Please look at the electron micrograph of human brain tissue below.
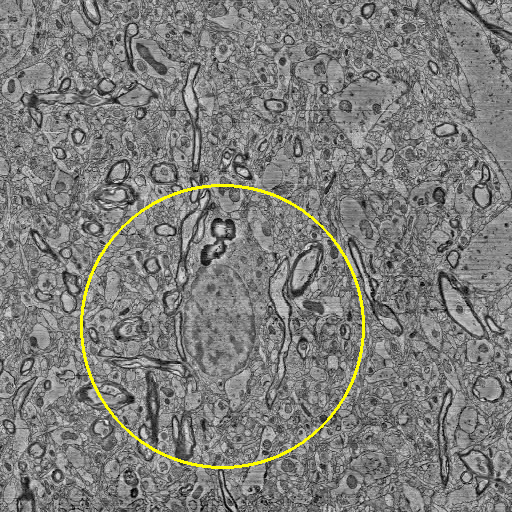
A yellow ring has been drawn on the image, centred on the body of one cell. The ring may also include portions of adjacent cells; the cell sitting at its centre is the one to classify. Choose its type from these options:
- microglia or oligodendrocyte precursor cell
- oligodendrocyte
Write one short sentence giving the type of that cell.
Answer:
The cell in the middle of the ring is an oligodendrocyte.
